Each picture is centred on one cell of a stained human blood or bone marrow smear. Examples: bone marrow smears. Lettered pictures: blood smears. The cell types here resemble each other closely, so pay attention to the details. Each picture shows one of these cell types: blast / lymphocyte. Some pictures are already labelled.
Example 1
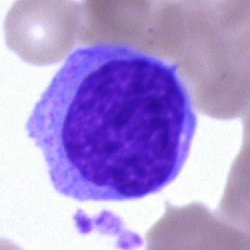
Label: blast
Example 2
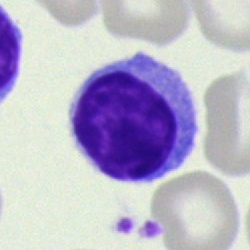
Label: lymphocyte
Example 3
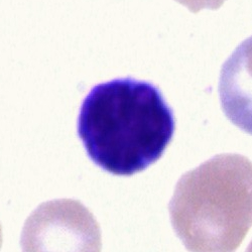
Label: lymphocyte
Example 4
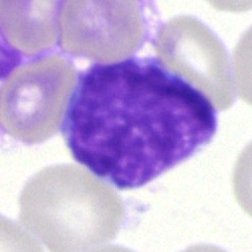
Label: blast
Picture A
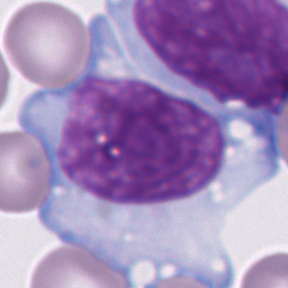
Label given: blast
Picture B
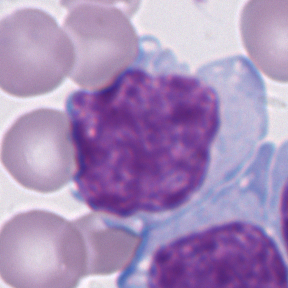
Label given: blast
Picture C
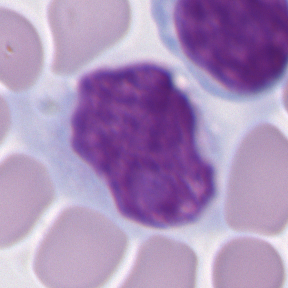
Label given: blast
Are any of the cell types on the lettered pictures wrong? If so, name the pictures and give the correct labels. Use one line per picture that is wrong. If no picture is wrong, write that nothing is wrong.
Nothing to fix; every label fits.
